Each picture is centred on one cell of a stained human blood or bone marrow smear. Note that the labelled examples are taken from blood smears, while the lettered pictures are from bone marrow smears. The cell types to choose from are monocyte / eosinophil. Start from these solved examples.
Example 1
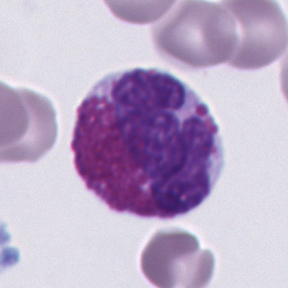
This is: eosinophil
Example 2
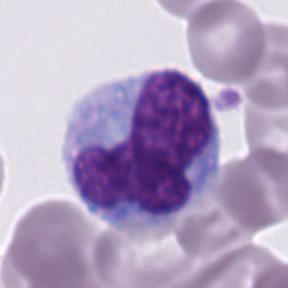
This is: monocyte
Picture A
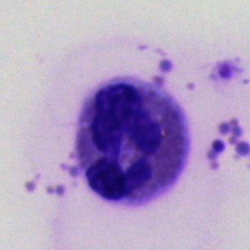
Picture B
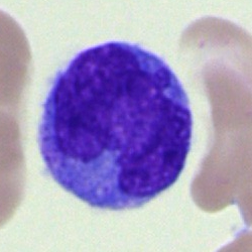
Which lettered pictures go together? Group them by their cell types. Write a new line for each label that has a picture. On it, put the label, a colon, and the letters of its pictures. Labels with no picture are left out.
monocyte: B
eosinophil: A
